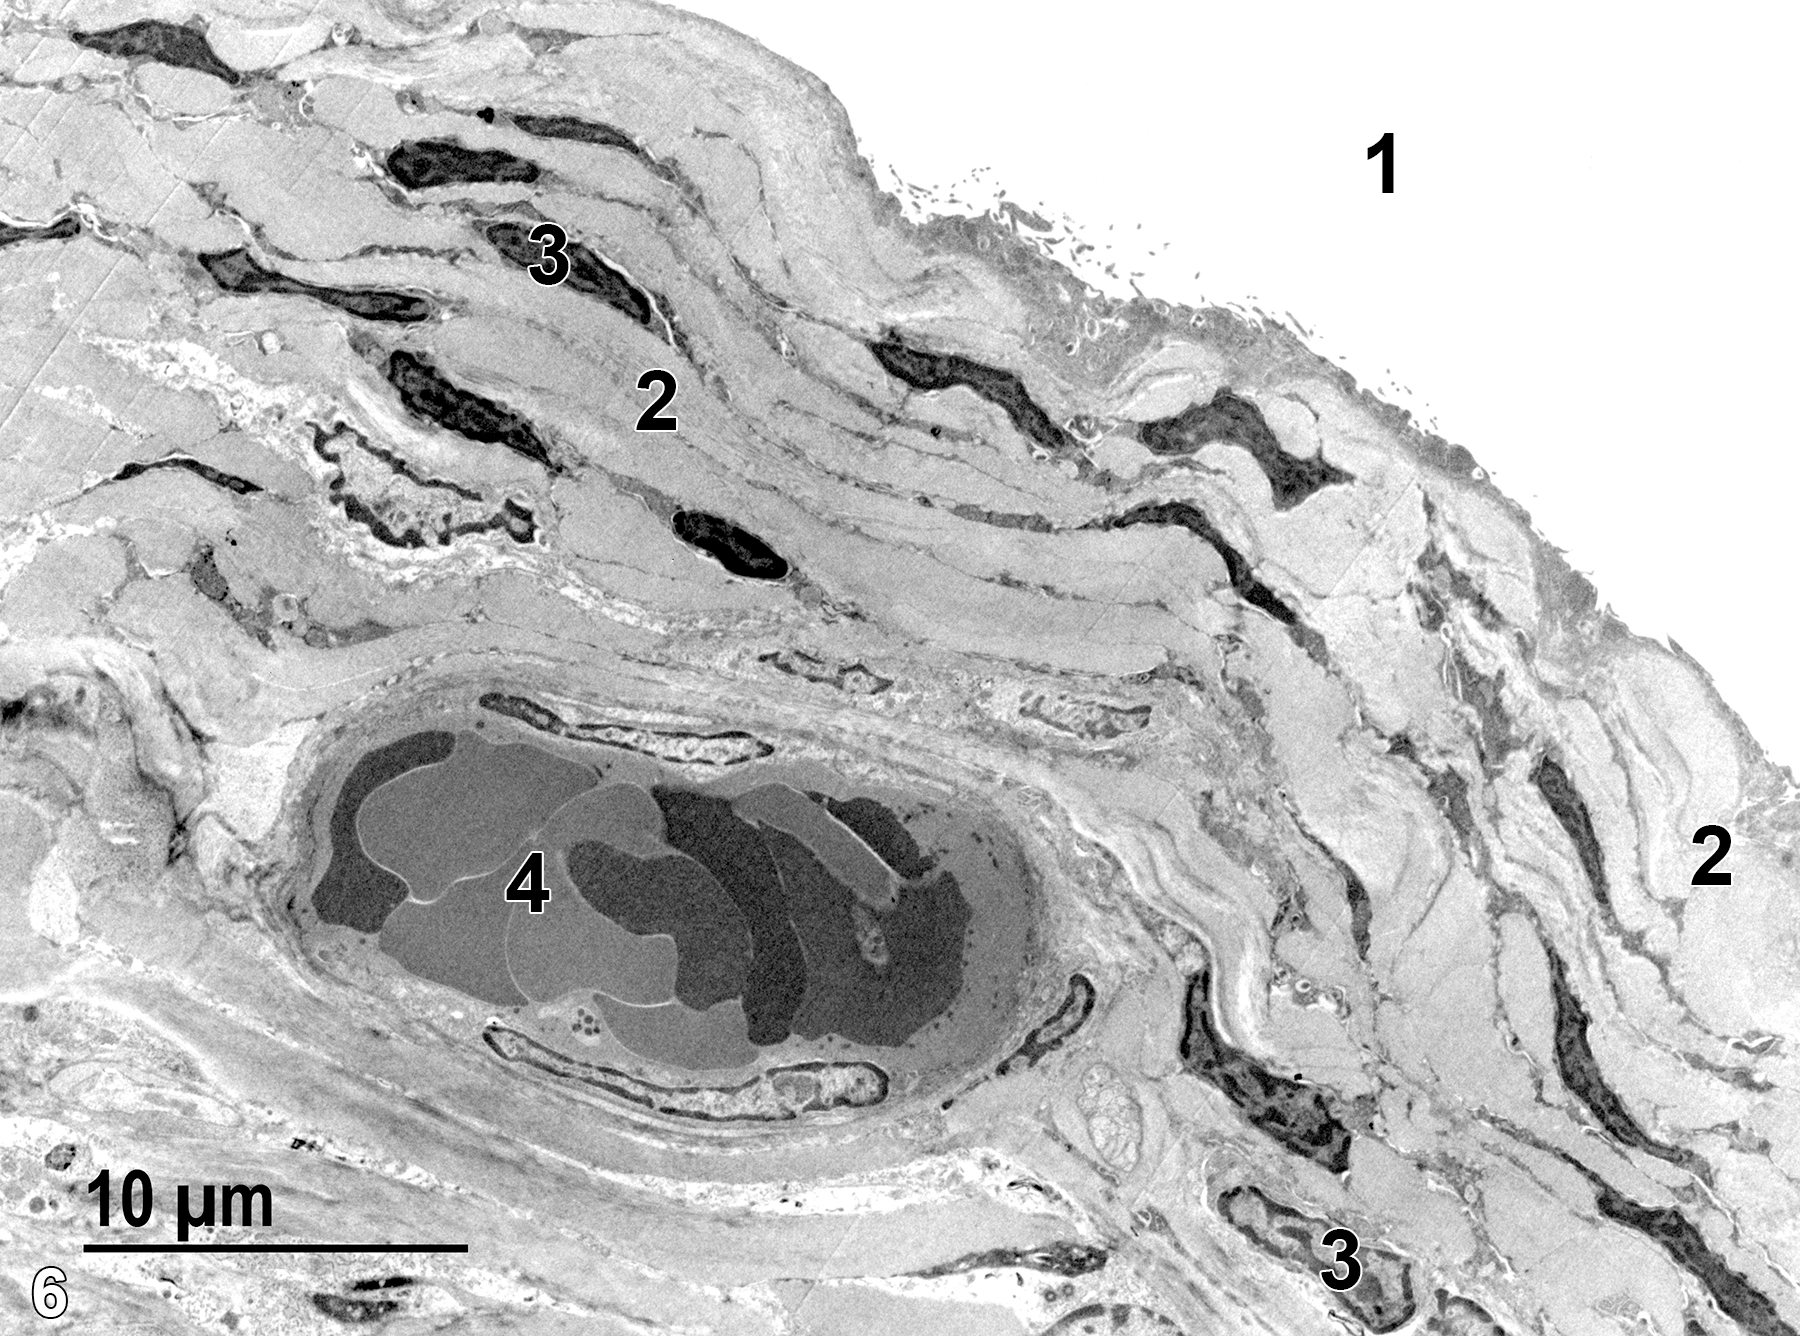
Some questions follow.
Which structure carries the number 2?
At 2: bundles of collagen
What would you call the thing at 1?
Peritoneal cavity.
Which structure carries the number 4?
small venule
